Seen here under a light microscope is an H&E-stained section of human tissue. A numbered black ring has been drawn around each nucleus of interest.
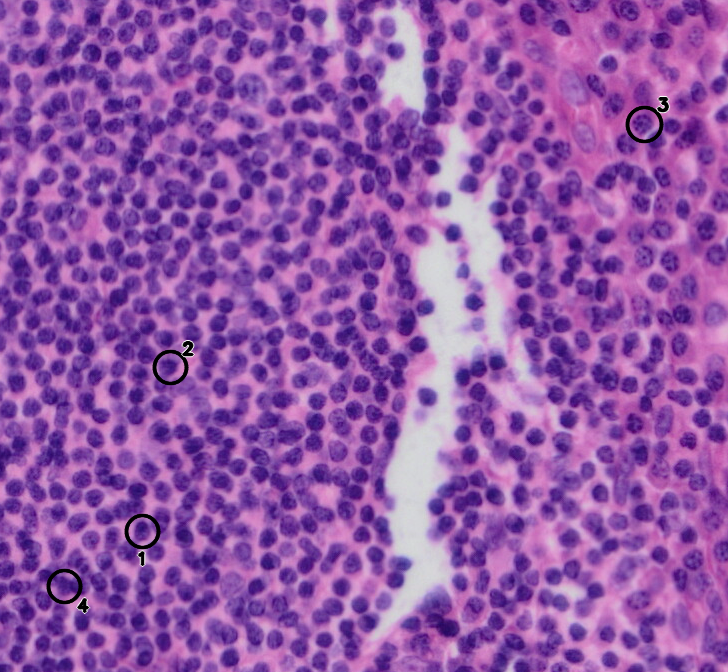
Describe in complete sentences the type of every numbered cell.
Cell 1 is a small lymphocyte, cell 2 is a small lymphocyte, cell 3 is a plasma cell and cell 4 is a small lymphocyte.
